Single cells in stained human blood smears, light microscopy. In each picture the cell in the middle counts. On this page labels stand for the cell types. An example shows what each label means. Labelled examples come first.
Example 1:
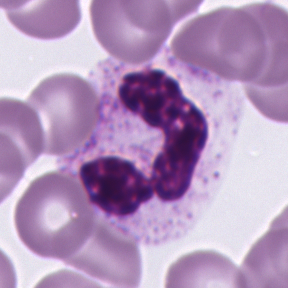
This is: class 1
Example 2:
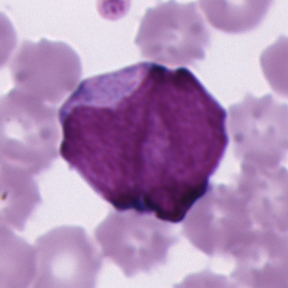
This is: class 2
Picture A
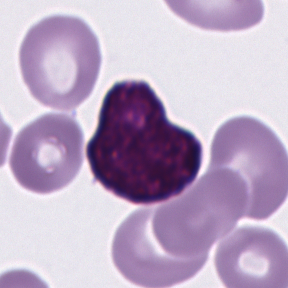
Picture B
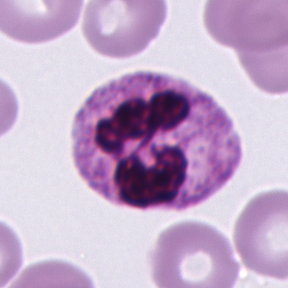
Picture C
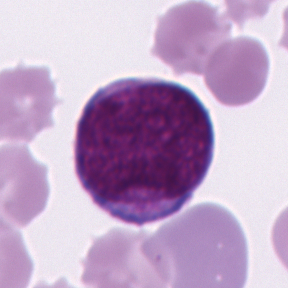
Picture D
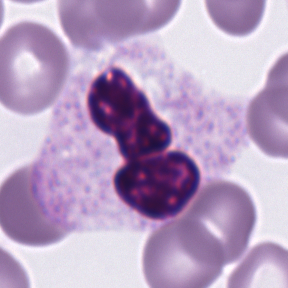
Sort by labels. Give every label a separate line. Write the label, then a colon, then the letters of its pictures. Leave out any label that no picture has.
class 1: B, D
class 2: A, C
